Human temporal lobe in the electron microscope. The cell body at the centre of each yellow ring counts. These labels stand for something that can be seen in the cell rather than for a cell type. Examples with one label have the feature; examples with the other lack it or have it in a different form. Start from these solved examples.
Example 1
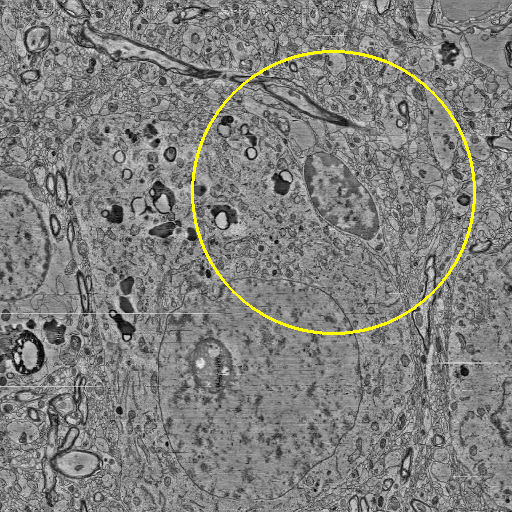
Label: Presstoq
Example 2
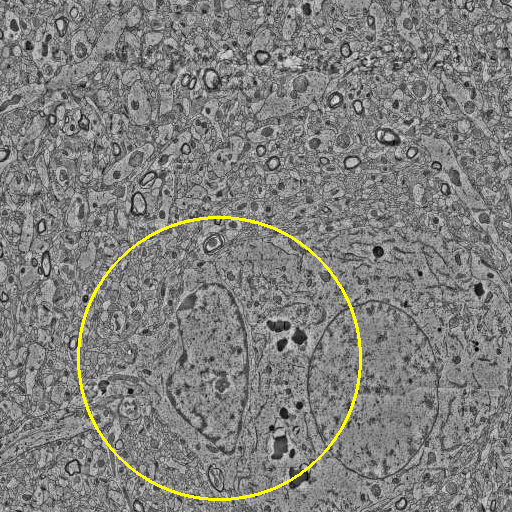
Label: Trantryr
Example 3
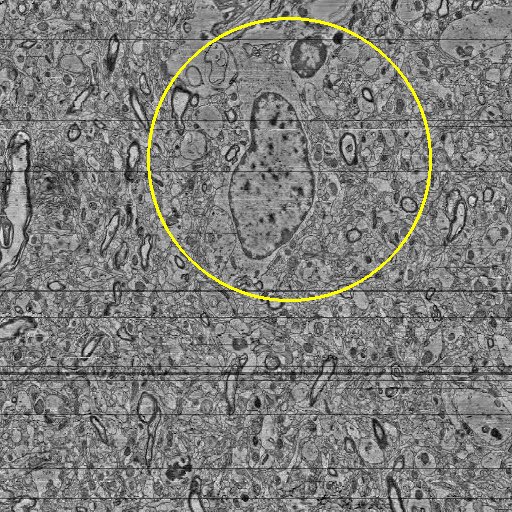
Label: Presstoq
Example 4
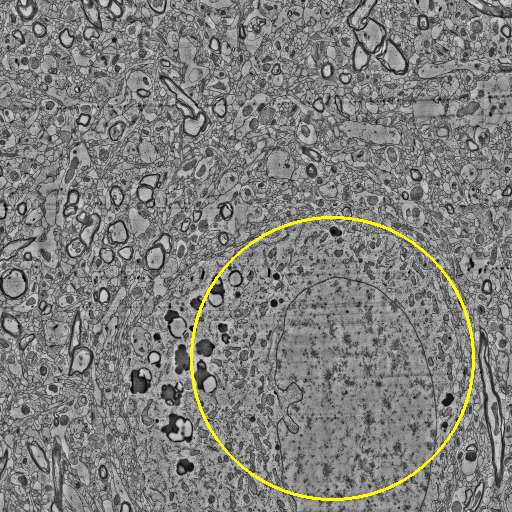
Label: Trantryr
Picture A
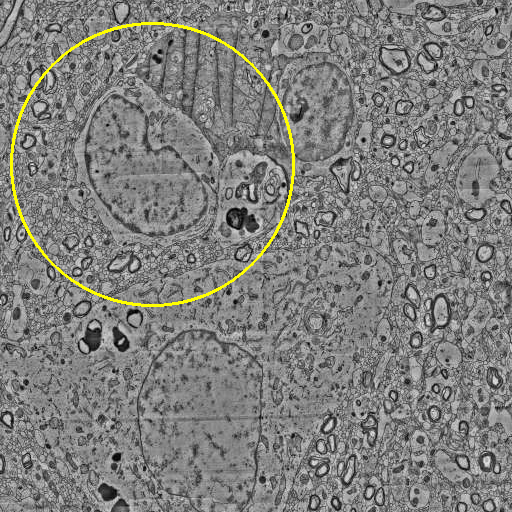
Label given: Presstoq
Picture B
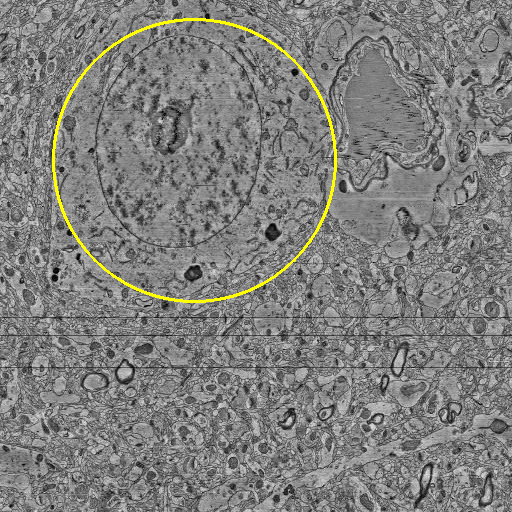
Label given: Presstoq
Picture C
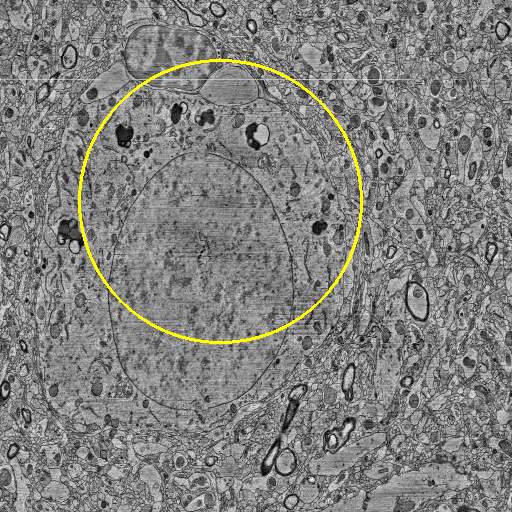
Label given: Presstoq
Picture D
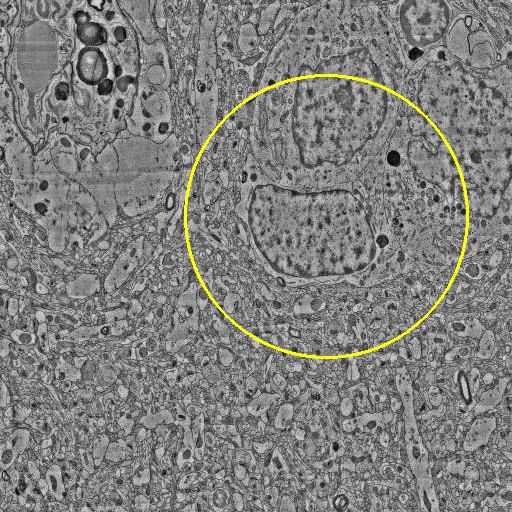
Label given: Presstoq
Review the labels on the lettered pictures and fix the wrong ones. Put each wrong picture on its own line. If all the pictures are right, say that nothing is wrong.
A: change Presstoq to Trantryr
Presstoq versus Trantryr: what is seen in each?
Presstoq, smooth nuclear envelopes without deep folds; Trantryr, deeply folded or indented nuclear envelopes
